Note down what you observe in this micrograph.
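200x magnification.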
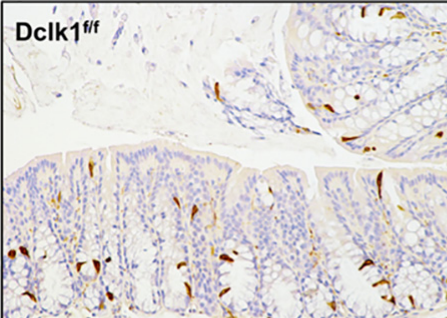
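This section of colonic mucosa shows tubular crypts lined by a single layer of epithelium, cut both lengthwise and across. The crypt epithelium is dominated by goblet cells, whose pale, clear cytoplasm contrasts with the small blue nuclei at the base of the cells. Scattered among them are solitary, slender epithelial cells stained dark brown, spread along the length of the crypts. Loose lamina propria with scattered nuclei fills the spaces between the crypts.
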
